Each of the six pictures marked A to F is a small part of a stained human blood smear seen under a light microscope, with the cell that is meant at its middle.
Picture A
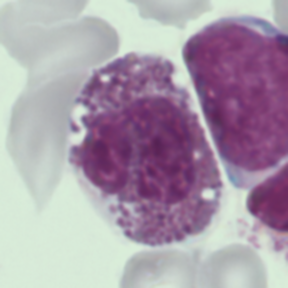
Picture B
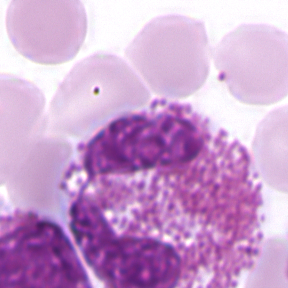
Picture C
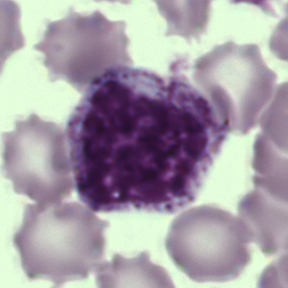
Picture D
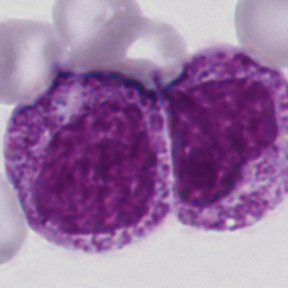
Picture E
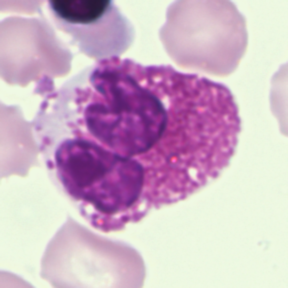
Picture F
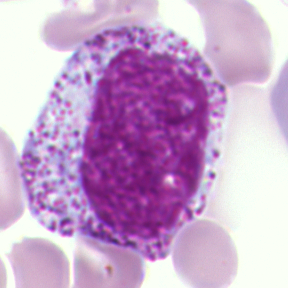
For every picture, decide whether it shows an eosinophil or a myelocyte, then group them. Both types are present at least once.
A: eosinophil
B: eosinophil
C: myelocyte
D: myelocyte
E: eosinophil
F: myelocyte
